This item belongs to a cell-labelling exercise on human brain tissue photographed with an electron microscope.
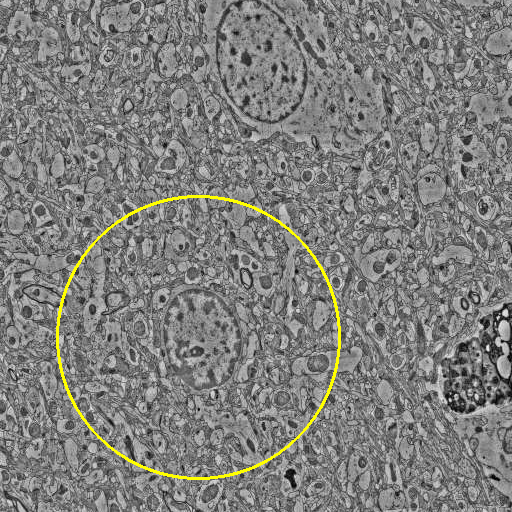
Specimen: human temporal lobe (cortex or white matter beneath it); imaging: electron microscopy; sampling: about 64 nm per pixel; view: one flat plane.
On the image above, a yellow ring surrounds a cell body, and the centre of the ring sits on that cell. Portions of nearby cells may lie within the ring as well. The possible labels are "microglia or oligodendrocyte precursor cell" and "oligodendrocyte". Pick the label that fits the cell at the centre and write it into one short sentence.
This cell should be labelled as an oligodendrocyte.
